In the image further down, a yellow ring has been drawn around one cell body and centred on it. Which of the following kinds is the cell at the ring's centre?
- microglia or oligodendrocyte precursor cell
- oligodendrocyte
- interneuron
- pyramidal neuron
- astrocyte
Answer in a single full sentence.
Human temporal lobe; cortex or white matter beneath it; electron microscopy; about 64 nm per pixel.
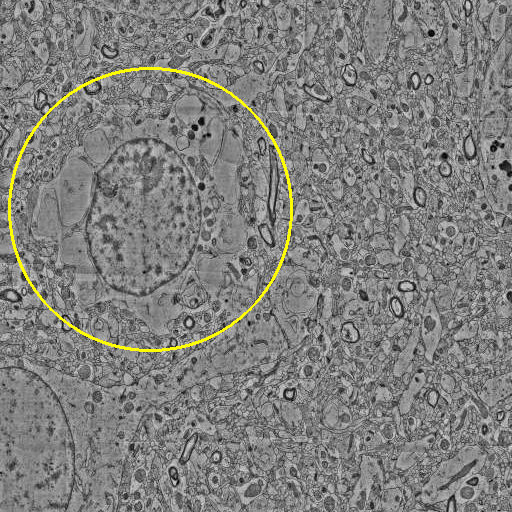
In the picture, the cell sitting at the centre of the yellow ring is an astrocyte.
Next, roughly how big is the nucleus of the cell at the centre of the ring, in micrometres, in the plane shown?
Roughly 10 by 7 micrometres is the size of the nucleus in this plane.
